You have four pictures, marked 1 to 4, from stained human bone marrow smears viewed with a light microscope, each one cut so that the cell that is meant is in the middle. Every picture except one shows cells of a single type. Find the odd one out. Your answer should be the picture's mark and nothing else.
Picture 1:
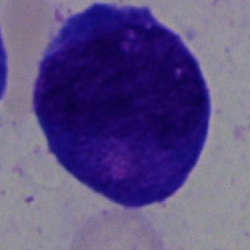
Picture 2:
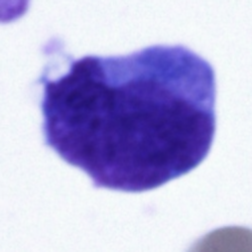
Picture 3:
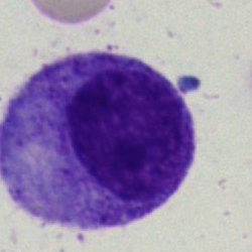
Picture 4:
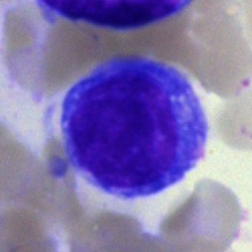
3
